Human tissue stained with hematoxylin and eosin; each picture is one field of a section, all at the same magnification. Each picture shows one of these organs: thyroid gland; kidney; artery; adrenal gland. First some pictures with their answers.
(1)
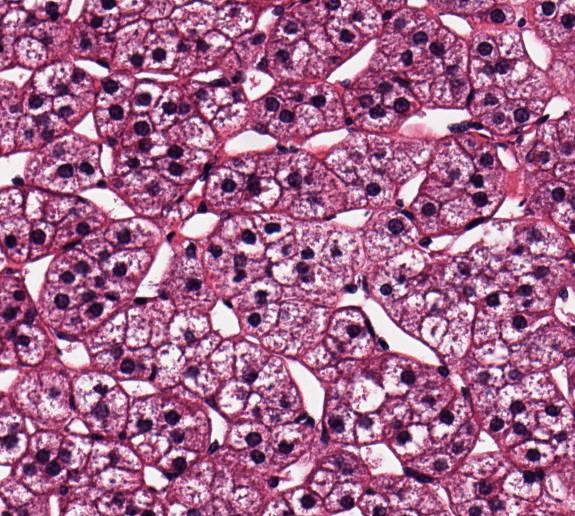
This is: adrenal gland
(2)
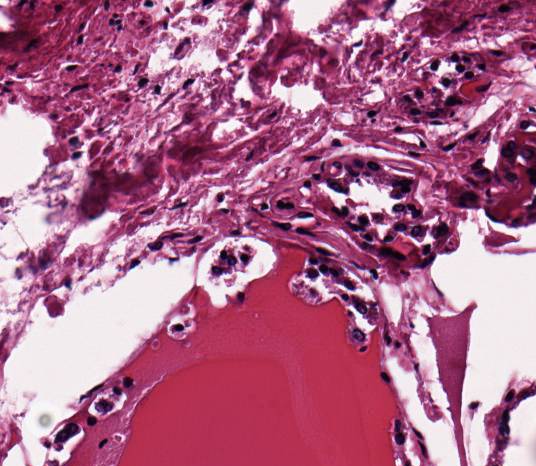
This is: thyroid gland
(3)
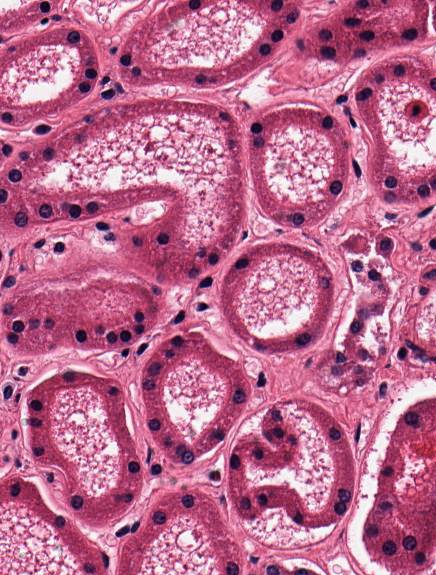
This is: kidney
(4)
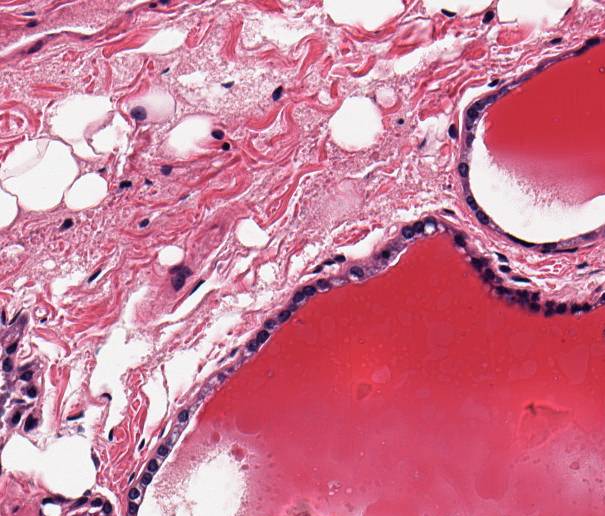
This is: thyroid gland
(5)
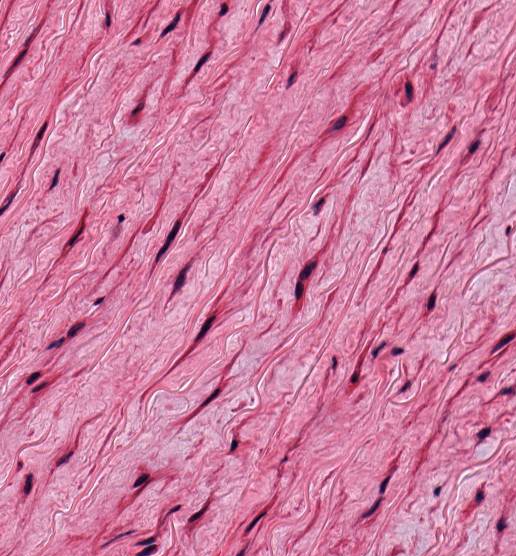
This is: artery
